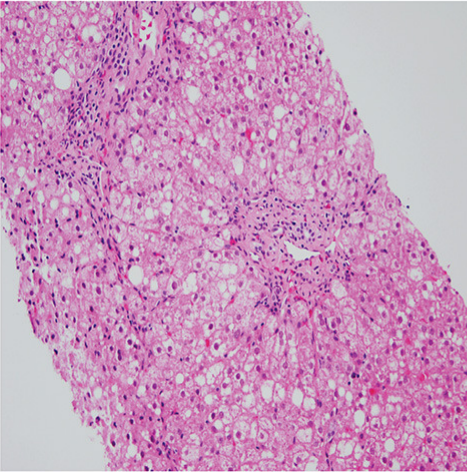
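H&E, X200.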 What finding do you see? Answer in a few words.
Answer: Fatty change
